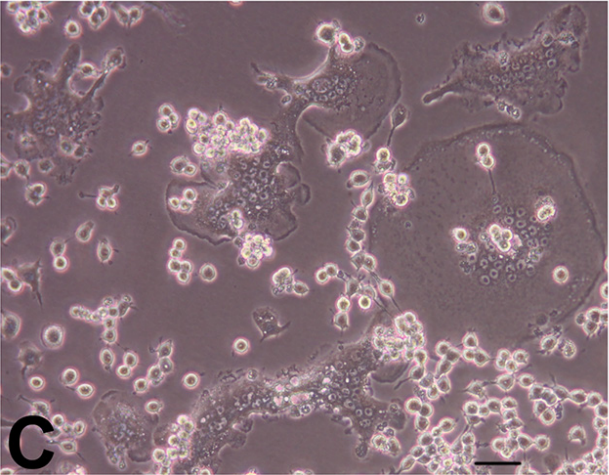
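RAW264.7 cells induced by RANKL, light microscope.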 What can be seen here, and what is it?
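Under phase contrast, very large flattened multinucleated osteoclasts with wide, thin, irregular margins spread among many small, round, bright mononuclear cells. The nuclei of the large cells are gathered in groups near their centres, and some smaller cells extend short spiky processes.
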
